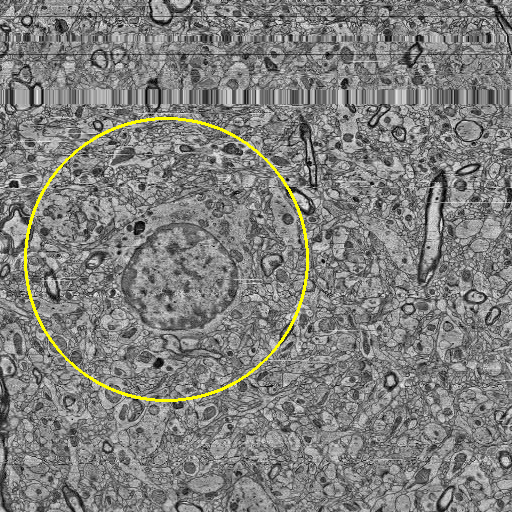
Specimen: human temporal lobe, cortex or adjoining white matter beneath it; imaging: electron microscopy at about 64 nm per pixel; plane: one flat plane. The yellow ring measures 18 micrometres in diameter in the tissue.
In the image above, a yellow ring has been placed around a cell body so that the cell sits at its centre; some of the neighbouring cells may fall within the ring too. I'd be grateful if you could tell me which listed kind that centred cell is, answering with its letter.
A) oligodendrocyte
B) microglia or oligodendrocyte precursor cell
A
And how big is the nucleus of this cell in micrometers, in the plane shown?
The ringed cell's nucleus is about 7 micrometres across in this plane.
